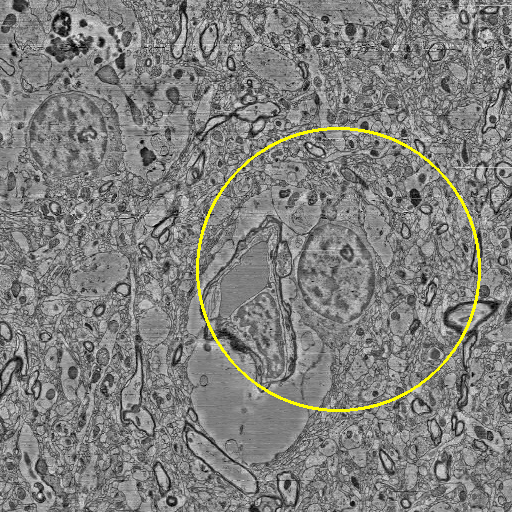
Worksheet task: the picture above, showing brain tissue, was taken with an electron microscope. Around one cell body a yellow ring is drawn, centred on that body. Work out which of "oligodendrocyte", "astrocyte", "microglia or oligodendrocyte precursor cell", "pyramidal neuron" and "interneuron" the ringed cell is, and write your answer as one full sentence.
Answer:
It is an oligodendrocyte whose cell body lies at the centre of the yellow ring.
